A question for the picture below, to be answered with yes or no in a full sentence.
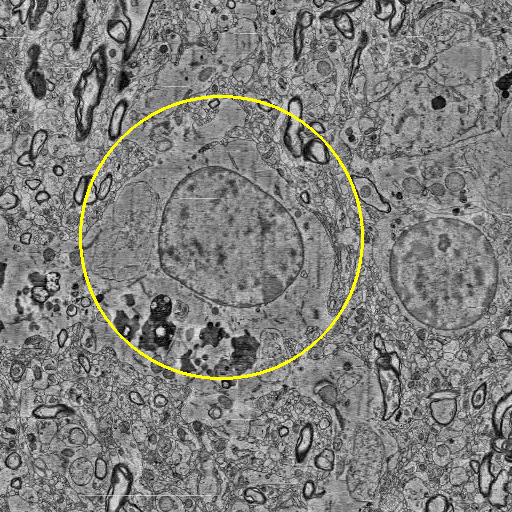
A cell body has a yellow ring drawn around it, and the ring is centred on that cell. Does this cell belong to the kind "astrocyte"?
Yes, the pictured cell at the ring's centre belongs to that kind.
